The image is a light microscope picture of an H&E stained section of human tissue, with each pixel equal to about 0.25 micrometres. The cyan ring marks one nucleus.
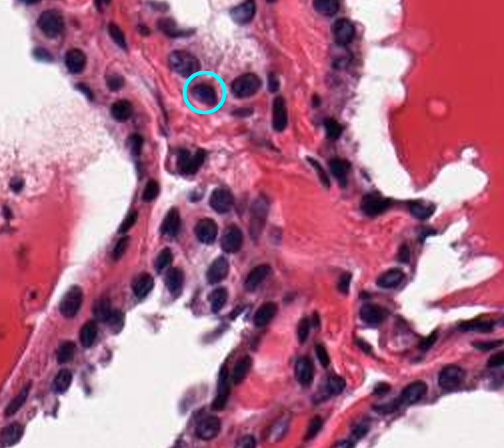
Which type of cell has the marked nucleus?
thyroid follicular cell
